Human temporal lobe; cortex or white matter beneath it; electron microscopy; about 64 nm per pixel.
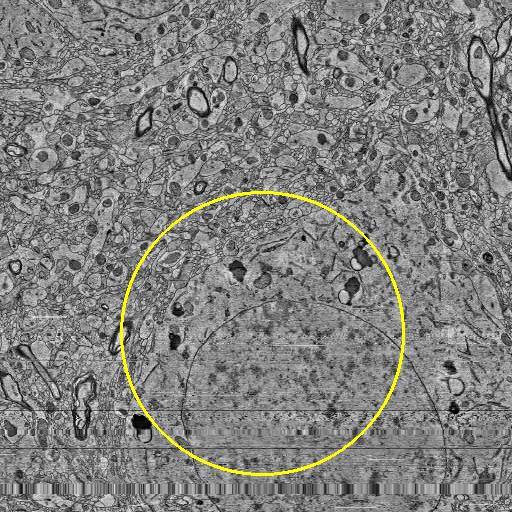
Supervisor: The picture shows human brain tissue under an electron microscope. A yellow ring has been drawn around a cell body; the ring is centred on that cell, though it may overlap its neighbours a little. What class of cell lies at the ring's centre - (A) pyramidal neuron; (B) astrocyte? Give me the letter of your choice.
A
